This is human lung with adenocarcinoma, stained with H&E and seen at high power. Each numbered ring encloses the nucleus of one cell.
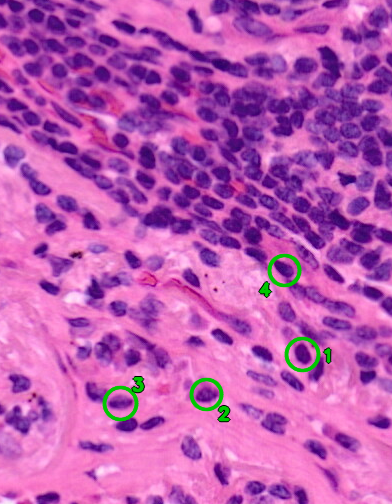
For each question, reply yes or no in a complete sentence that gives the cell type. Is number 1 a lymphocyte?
No, the cell marked 1 is a plasma cell rather than a lymphocyte.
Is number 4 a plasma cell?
No, number 4 belongs to a lymphocyte, not to a plasma cell.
